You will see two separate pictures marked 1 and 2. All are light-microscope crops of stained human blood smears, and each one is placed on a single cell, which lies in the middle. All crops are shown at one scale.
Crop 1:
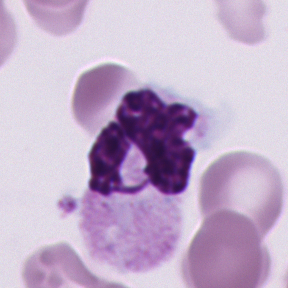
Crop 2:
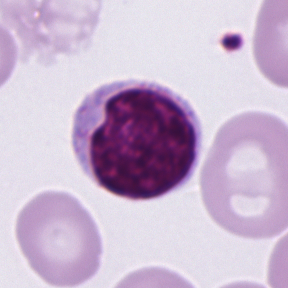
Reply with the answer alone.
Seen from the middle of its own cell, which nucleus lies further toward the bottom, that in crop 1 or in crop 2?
2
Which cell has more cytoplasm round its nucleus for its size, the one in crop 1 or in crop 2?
1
